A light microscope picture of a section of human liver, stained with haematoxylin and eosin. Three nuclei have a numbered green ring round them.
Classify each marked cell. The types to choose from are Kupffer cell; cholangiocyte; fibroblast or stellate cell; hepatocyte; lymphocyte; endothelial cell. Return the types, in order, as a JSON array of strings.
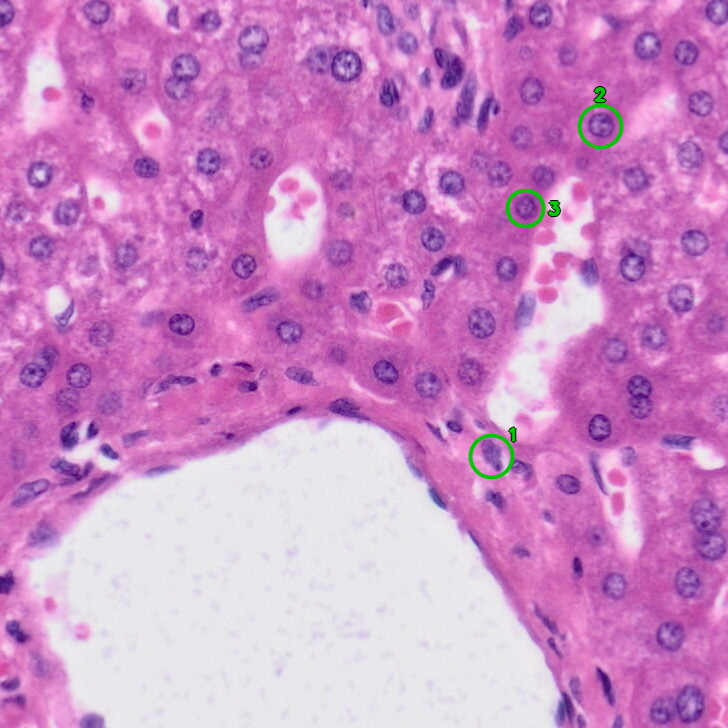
["fibroblast or stellate cell", "hepatocyte", "hepatocyte"]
